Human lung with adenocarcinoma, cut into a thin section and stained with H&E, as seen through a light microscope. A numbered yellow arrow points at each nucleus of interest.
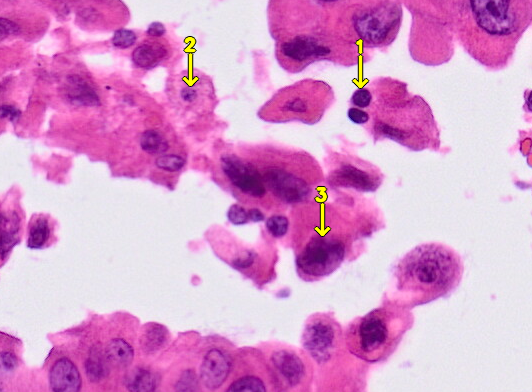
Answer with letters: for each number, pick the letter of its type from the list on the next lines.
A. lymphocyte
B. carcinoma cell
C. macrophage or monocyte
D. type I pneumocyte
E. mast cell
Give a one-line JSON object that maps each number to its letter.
{"1": "A", "2": "C", "3": "B"}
